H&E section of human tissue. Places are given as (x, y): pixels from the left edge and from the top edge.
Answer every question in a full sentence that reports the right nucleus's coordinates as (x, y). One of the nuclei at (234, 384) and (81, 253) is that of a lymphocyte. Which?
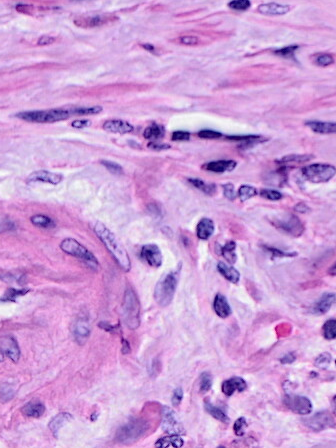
Among the two, the nucleus at (234, 384) is the nucleus of a lymphocyte.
